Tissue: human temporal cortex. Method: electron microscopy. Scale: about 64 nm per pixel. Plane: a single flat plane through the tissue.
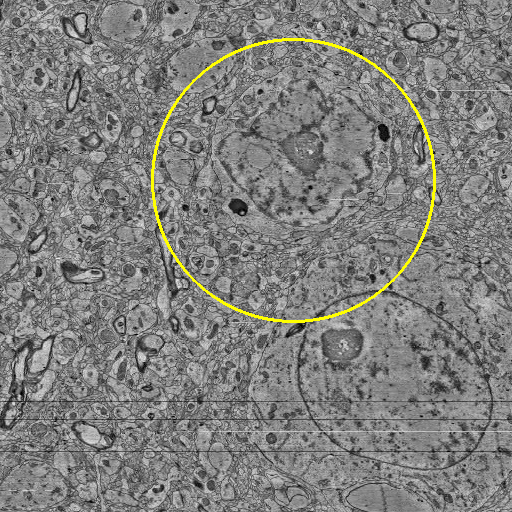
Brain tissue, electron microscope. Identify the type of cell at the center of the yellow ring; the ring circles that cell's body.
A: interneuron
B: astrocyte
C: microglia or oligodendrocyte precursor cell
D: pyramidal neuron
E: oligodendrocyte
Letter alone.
A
